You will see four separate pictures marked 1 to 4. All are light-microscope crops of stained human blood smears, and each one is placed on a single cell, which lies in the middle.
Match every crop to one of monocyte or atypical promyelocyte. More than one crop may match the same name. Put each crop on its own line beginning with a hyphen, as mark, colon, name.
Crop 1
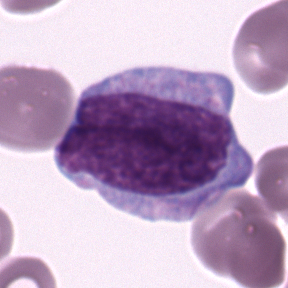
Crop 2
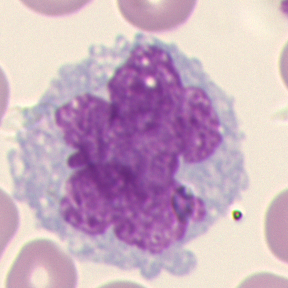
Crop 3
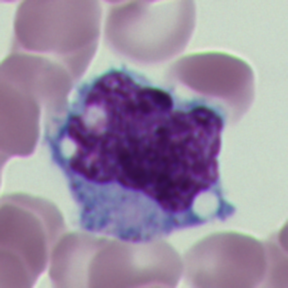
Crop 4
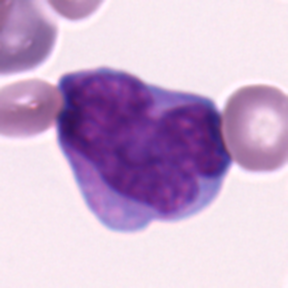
- 1: atypical promyelocyte
- 2: monocyte
- 3: monocyte
- 4: atypical promyelocyte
